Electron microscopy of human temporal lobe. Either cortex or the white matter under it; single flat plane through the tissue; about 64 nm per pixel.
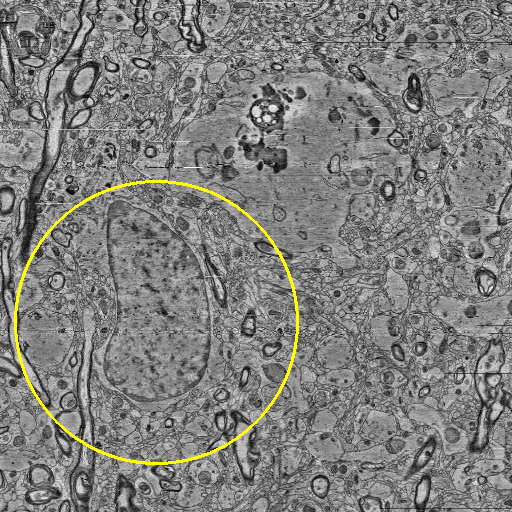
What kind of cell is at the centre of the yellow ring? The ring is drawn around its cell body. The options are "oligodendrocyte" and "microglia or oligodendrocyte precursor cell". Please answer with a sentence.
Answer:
The yellow ring marks the cell body of a microglial cell or oligodendrocyte precursor cell.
